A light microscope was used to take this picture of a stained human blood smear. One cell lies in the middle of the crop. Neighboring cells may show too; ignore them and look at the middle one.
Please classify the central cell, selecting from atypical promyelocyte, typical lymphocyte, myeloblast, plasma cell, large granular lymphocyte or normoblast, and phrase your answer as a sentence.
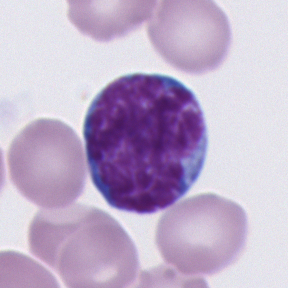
Centred in the crop is a typical lymphocyte.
